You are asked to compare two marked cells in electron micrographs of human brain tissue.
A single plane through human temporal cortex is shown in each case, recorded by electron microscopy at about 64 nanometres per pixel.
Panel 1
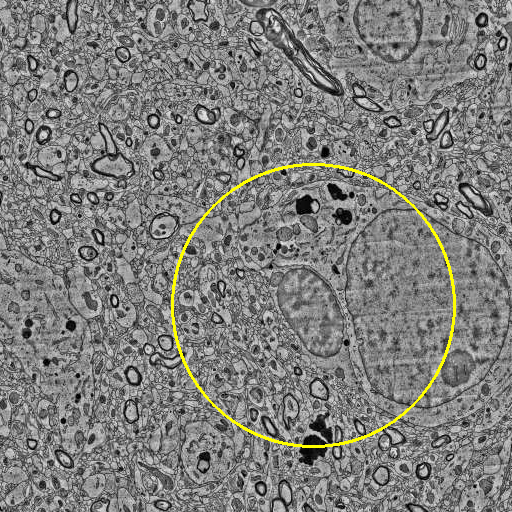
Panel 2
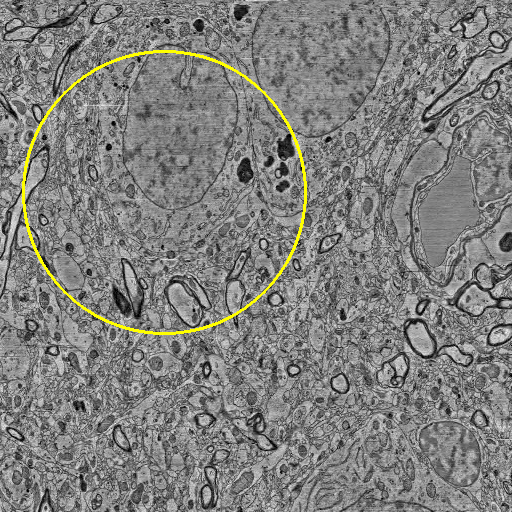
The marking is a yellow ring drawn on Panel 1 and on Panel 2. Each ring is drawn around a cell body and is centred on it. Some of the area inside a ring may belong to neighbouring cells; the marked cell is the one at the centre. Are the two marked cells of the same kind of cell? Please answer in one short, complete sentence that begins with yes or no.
No, the two marked cells are of two kinds.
